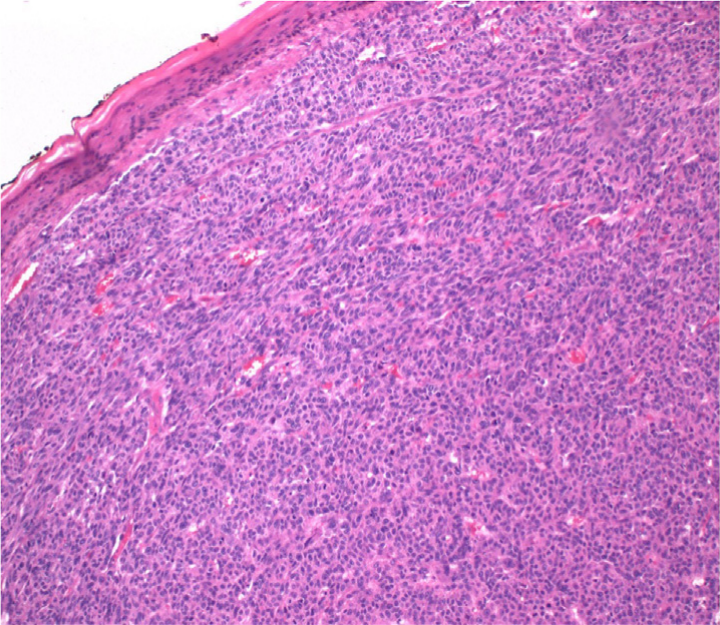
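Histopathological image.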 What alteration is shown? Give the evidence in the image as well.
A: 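A thin, pink epidermal layer runs along the top left edge. The junction between epidermis and the underlying tissue is flat, without downward projections. So: atrophic epidermis with effaced rete ridges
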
